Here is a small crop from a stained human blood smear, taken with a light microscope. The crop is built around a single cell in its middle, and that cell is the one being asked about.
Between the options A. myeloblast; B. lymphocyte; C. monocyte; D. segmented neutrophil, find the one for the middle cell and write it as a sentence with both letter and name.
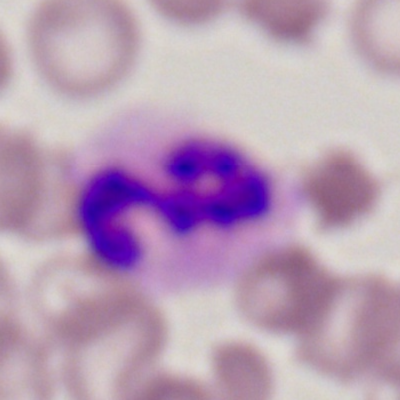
Option D is correct in naming the middle cell a segmented neutrophil.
